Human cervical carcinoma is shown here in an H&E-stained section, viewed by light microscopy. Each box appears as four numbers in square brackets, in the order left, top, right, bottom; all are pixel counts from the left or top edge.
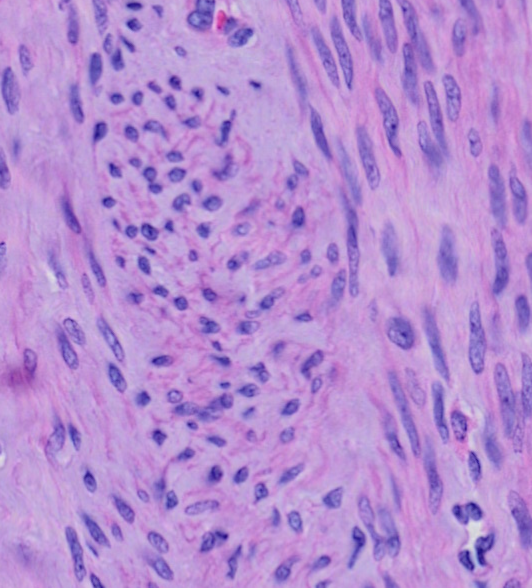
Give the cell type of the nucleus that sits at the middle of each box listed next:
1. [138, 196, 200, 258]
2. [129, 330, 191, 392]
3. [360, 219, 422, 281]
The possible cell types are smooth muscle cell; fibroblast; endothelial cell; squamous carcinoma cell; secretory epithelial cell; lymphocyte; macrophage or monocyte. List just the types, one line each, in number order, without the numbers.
smooth muscle cell
smooth muscle cell
fibroblast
